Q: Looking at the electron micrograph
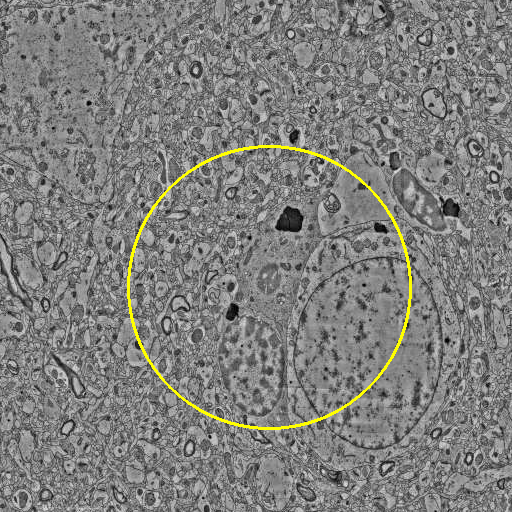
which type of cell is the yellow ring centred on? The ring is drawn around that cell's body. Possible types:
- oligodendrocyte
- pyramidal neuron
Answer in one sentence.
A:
The yellow ring is centred on an oligodendrocyte.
